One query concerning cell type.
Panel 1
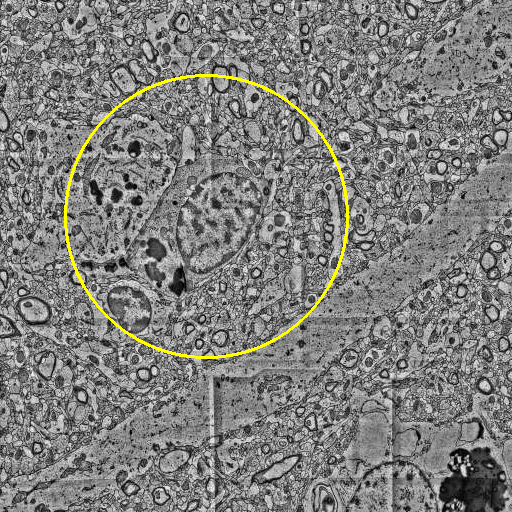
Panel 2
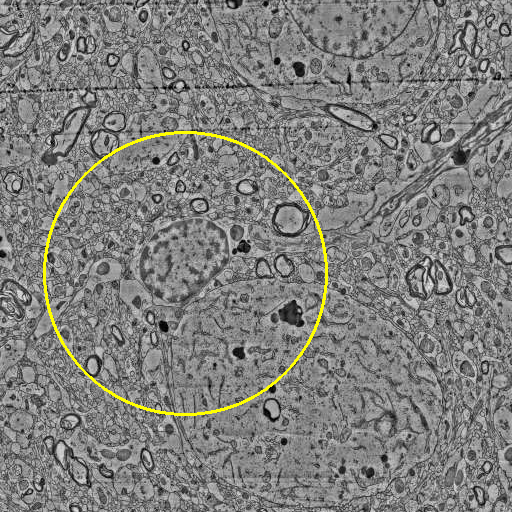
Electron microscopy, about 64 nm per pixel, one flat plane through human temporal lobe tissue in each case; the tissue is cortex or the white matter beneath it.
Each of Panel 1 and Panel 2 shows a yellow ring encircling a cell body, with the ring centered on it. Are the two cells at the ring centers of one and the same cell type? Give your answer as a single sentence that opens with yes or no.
No, the cell centered in Panel 1 and the one in Panel 2 are of two types.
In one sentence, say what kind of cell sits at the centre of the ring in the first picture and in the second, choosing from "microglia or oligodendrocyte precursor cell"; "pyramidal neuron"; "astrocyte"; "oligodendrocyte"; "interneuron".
The first picture's ringed cell is an oligodendrocyte, while the second picture's is a microglial cell or oligodendrocyte precursor cell.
